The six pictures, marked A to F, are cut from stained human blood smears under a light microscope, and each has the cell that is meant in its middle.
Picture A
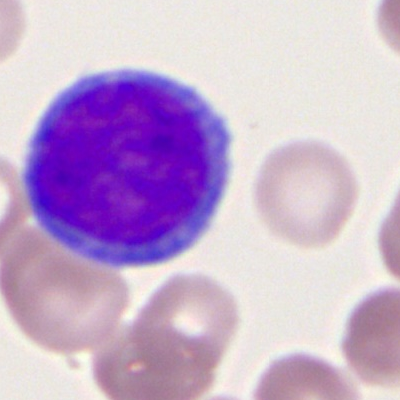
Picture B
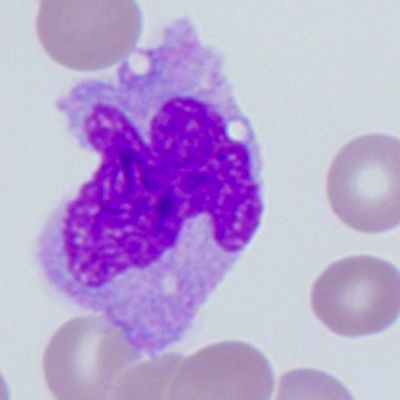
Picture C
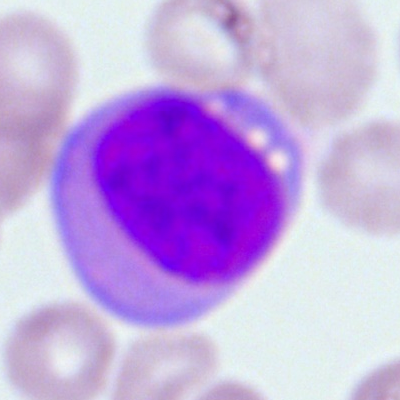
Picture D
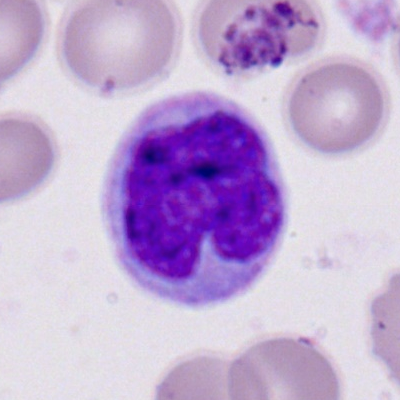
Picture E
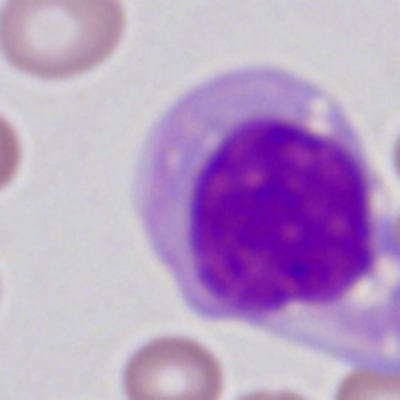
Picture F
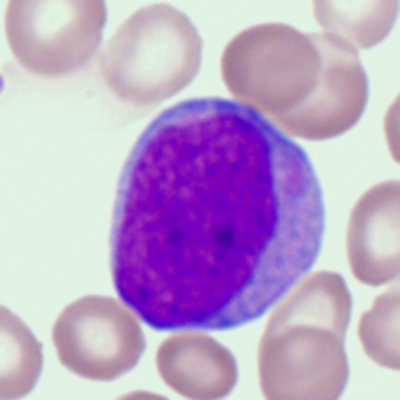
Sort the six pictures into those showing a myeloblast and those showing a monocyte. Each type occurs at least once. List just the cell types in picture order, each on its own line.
myeloblast
monocyte
myeloblast
monocyte
monocyte
myeloblast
